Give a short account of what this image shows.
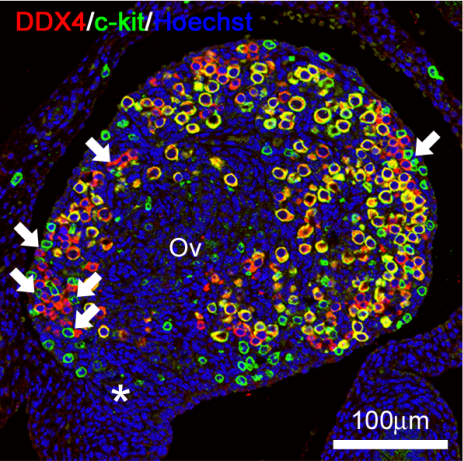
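The oocytes are most numerous in the outer cortex, forming clusters, while the central region contains fewer. Small cells with green outlines lie scattered between and beside the oocytes. The lower pole at the asterisk, where the ovary joins neighbouring tissue, is made of packed small nuclei with few oocytes.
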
